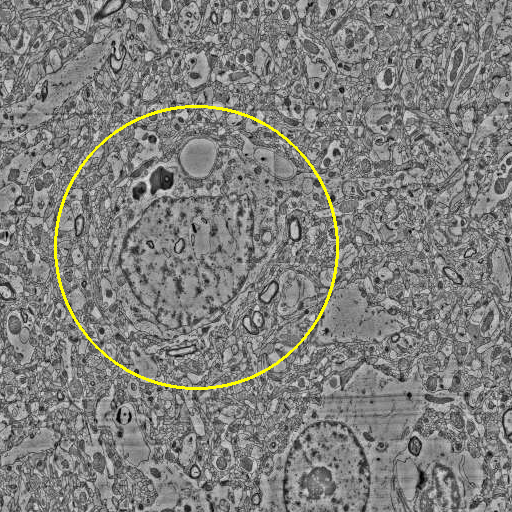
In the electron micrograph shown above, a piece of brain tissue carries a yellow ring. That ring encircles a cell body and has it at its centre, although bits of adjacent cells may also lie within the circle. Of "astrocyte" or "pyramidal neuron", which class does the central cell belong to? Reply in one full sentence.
The cell body at the centre of the yellow ring belongs to an astrocyte.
